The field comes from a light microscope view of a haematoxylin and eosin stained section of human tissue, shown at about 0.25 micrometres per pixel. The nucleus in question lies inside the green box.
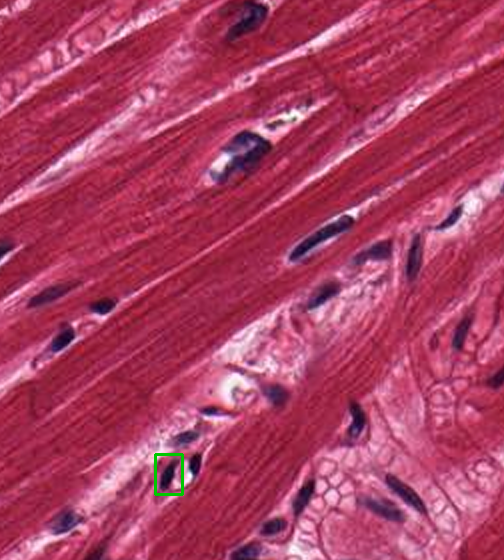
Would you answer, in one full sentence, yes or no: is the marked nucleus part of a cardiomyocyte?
No, what the marked nucleus belongs to is a supporting cell, not a cardiomyocyte.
